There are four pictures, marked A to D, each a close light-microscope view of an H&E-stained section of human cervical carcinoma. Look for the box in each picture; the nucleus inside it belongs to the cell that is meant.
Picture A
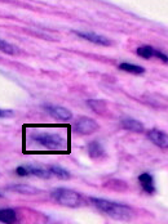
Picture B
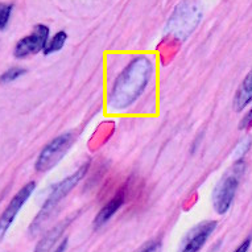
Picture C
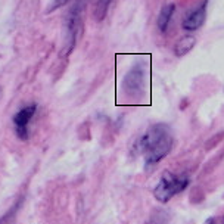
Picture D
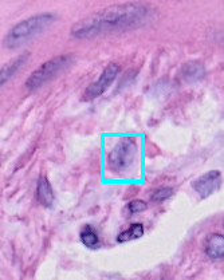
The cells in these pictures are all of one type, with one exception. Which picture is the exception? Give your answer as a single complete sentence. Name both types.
Picture B is the odd one out: it shows an endothelial cell, while the others show fibroblasts.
